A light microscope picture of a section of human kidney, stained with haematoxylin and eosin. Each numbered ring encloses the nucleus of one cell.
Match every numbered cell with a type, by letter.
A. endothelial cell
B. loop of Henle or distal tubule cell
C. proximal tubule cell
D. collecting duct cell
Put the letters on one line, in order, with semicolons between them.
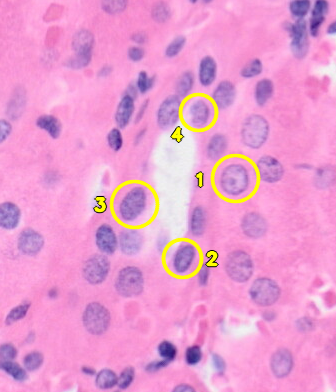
C; D; D; D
